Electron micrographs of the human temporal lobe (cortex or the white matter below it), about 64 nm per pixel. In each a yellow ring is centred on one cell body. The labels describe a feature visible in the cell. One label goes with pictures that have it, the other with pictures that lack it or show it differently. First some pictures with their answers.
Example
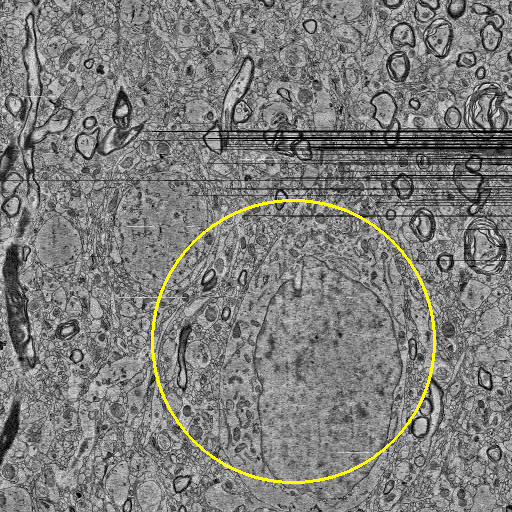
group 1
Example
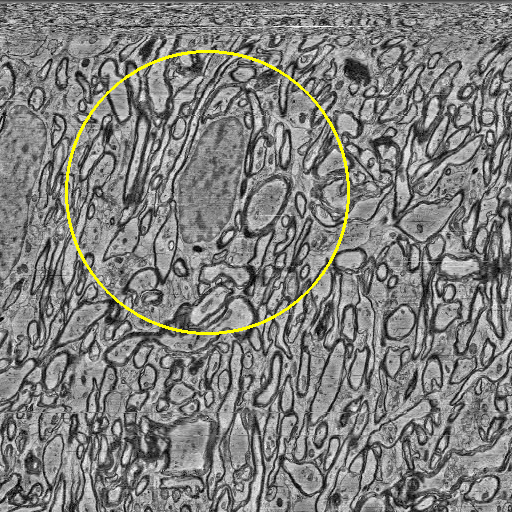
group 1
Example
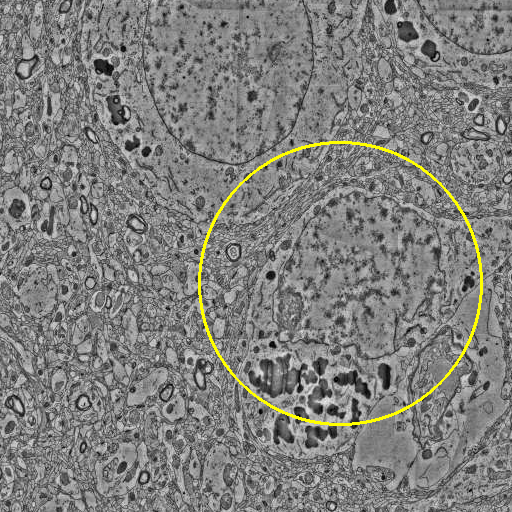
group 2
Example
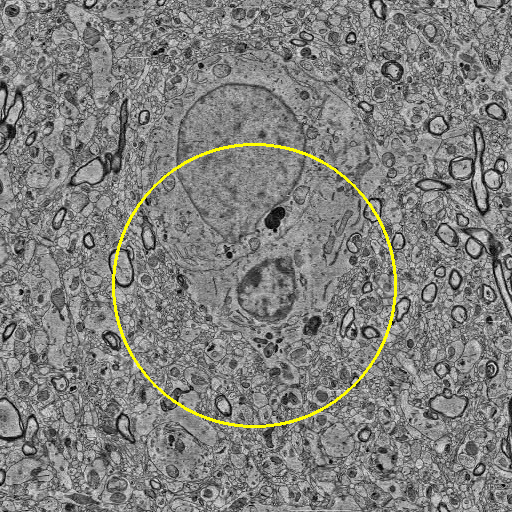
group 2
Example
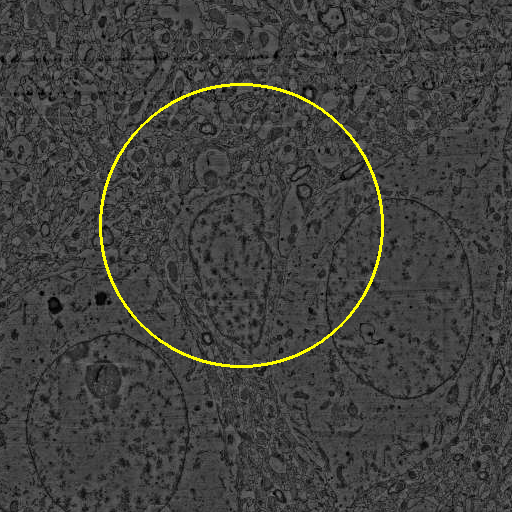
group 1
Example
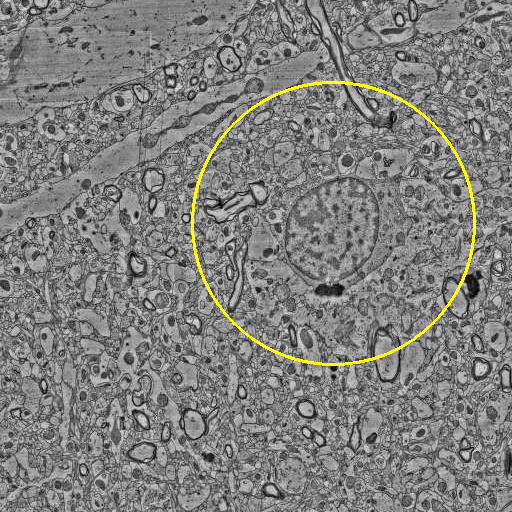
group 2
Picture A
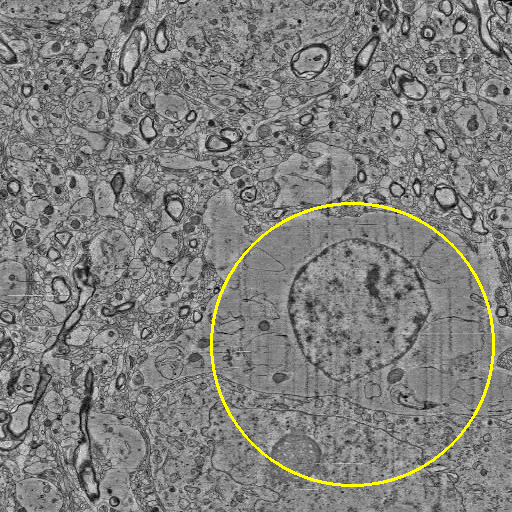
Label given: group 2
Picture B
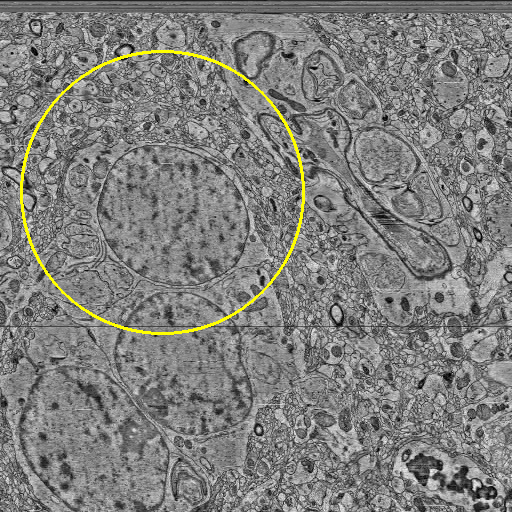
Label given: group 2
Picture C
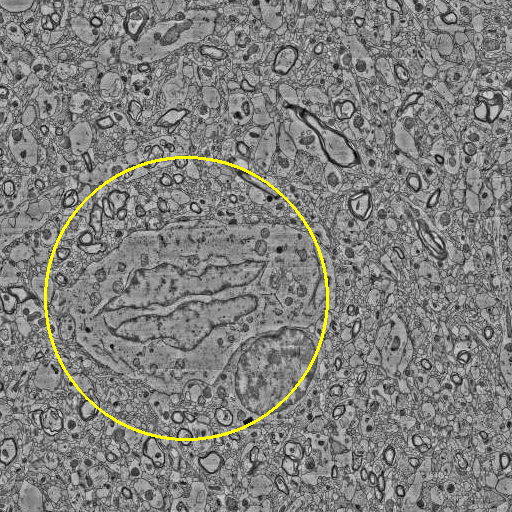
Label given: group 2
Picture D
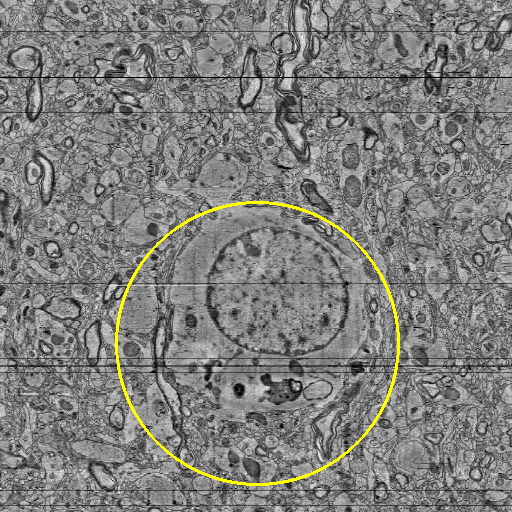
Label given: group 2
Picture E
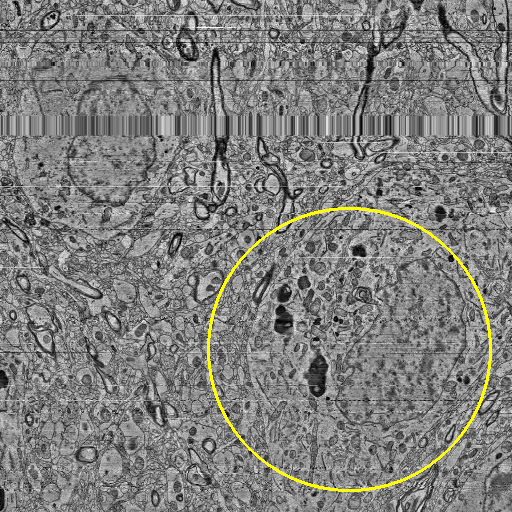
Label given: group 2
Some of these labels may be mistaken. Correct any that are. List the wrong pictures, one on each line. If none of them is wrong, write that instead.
Wrong: C (group 2); correct: group 1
